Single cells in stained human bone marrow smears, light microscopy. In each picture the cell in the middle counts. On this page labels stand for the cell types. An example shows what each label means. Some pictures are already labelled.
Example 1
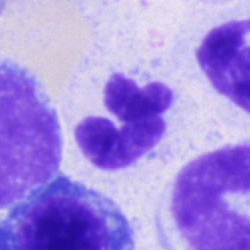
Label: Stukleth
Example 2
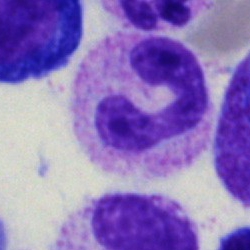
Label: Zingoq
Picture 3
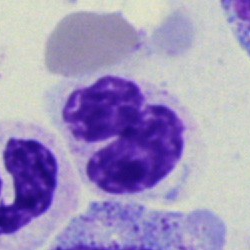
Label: Stukleth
